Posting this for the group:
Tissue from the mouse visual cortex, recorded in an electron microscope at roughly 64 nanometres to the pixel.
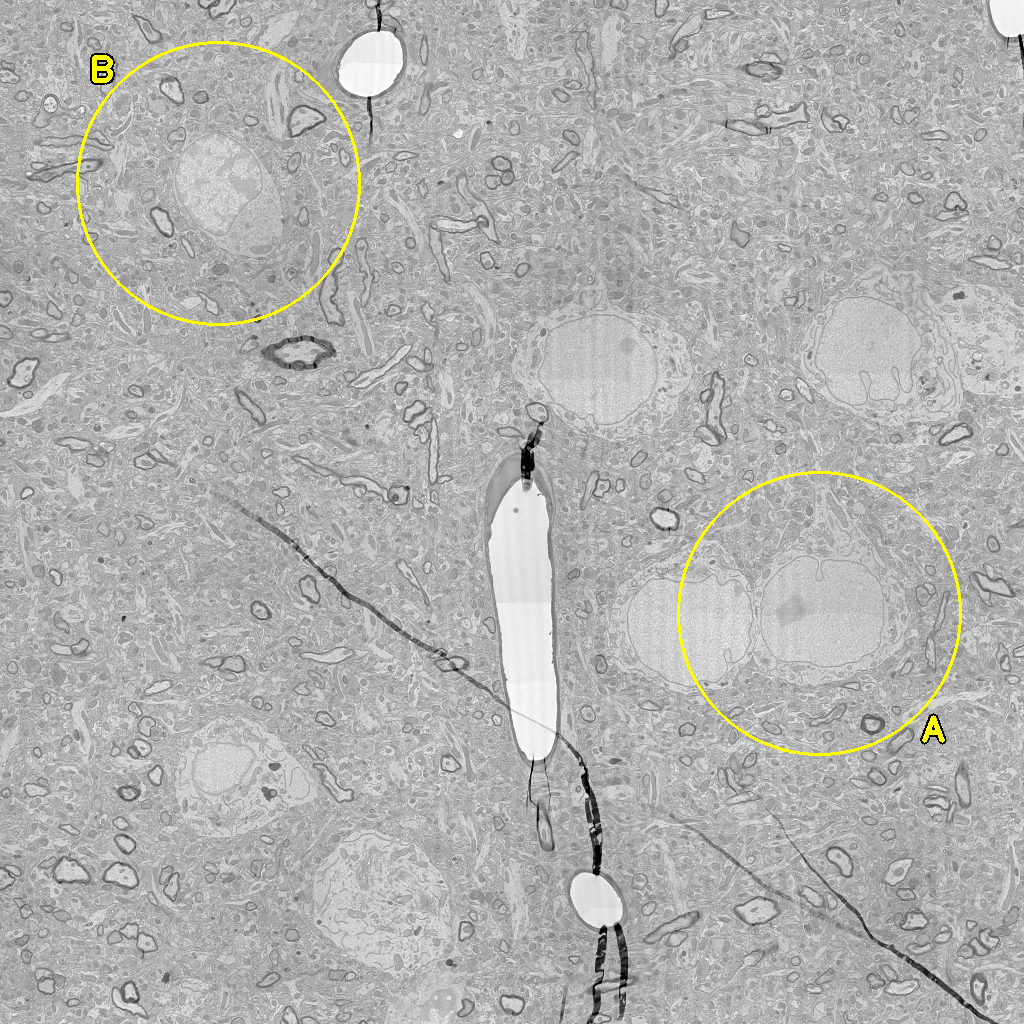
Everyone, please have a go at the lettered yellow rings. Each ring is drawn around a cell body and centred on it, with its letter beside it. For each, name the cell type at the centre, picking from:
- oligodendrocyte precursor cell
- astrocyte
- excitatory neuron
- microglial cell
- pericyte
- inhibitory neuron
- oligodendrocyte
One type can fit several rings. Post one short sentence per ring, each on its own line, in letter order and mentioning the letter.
My call for ring A is an excitatory neuron.
My call for ring B is an oligodendrocyte.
